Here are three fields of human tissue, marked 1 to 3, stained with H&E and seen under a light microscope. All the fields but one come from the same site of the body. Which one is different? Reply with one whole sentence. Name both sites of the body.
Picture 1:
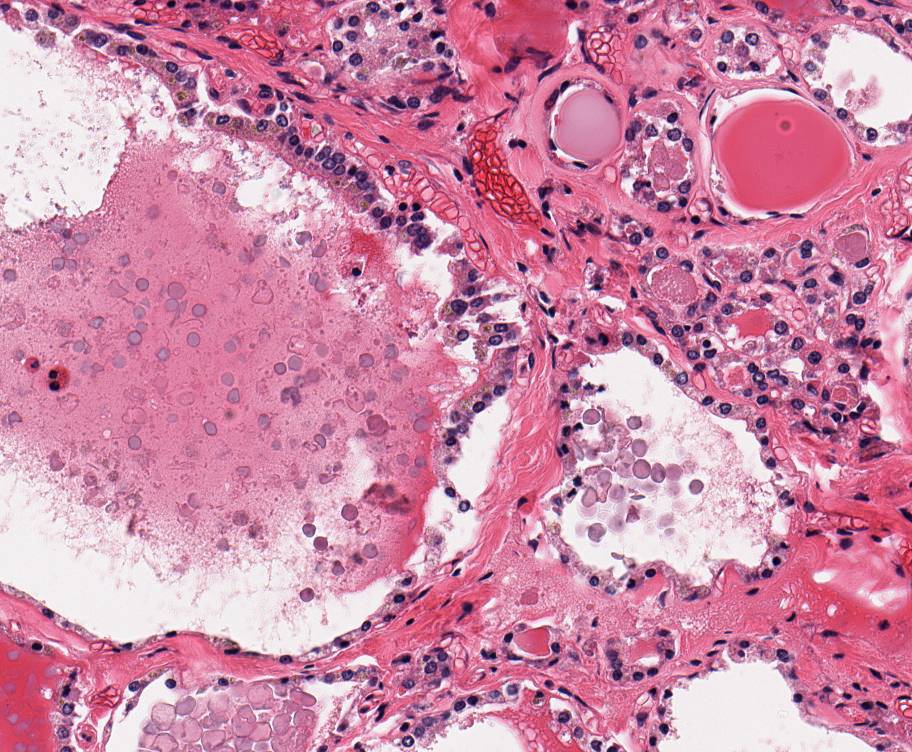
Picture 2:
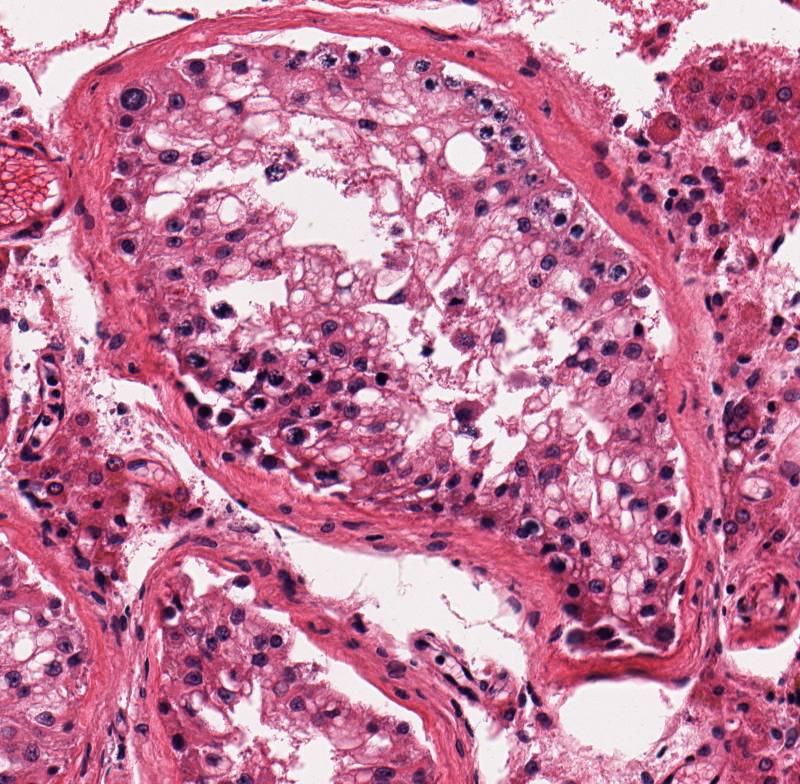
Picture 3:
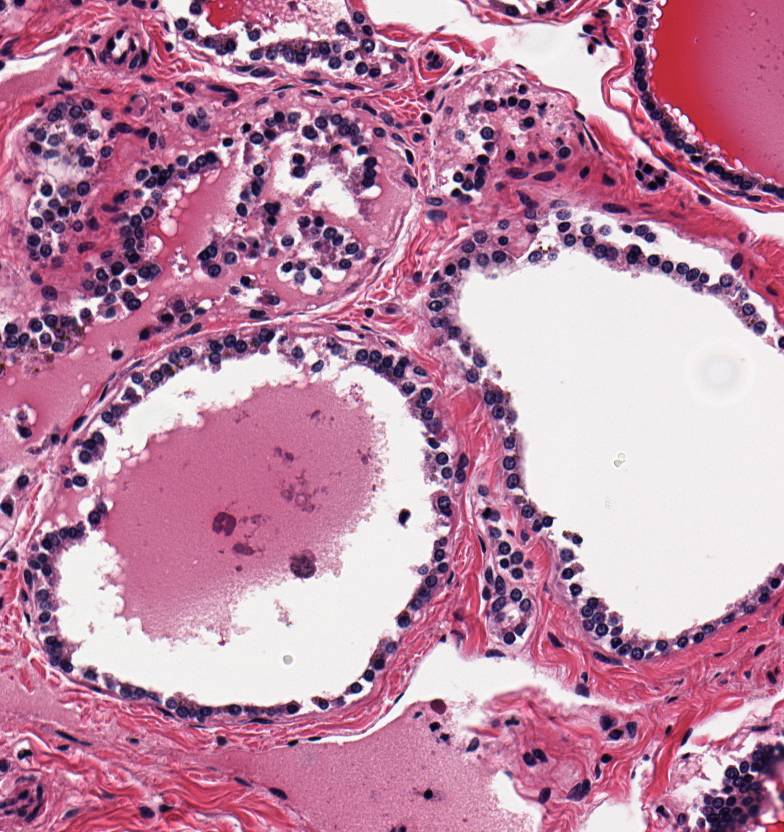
Unlike the rest, which come from the thyroid, picture 2 comes from the testis.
